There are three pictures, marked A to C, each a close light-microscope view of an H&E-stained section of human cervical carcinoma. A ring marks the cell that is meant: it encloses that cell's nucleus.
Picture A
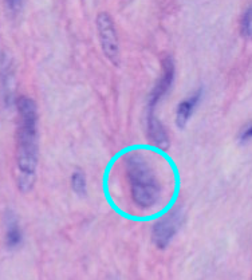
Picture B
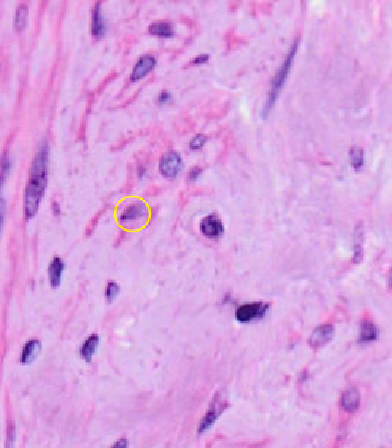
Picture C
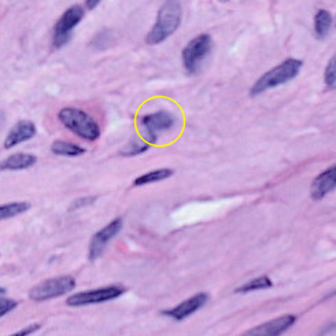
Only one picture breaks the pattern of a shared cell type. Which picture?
C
